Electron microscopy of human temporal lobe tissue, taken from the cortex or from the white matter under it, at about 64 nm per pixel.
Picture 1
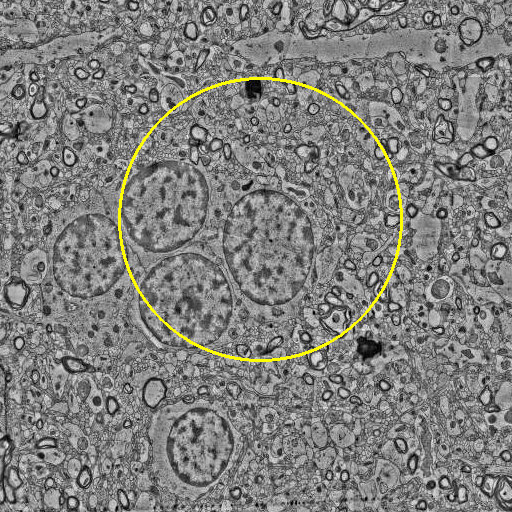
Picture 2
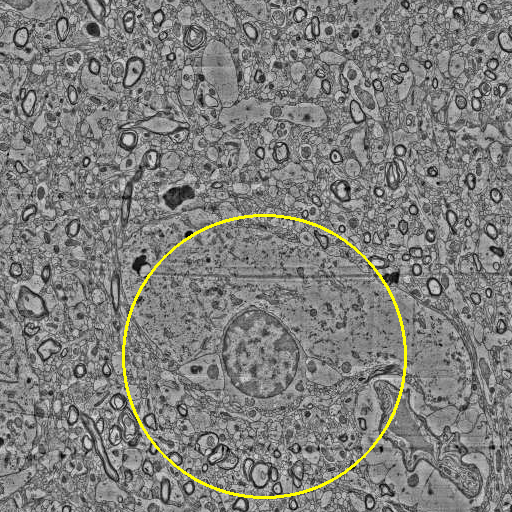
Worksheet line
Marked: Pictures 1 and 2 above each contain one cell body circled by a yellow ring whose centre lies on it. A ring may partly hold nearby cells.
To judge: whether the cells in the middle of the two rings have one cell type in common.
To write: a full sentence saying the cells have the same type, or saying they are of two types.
The cells in the middle of the rings in Picture 1 and Picture 2 have the same type.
